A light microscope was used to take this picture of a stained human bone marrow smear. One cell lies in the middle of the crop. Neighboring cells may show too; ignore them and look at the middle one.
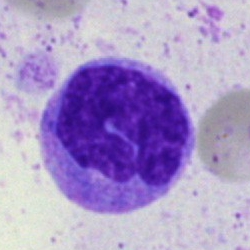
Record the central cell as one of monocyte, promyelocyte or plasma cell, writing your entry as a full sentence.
This crop is built around a monocyte at its centre.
